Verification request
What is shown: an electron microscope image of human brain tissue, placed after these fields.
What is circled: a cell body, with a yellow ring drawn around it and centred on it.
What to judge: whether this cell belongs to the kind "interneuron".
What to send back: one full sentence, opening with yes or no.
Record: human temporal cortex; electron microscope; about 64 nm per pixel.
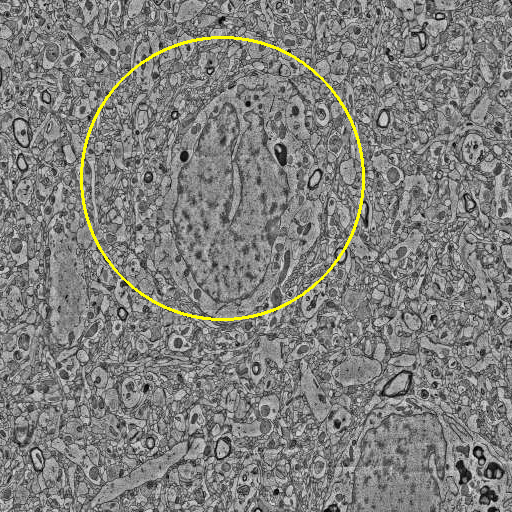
Yes, the cell on which the yellow ring is centred in the picture is of that kind.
